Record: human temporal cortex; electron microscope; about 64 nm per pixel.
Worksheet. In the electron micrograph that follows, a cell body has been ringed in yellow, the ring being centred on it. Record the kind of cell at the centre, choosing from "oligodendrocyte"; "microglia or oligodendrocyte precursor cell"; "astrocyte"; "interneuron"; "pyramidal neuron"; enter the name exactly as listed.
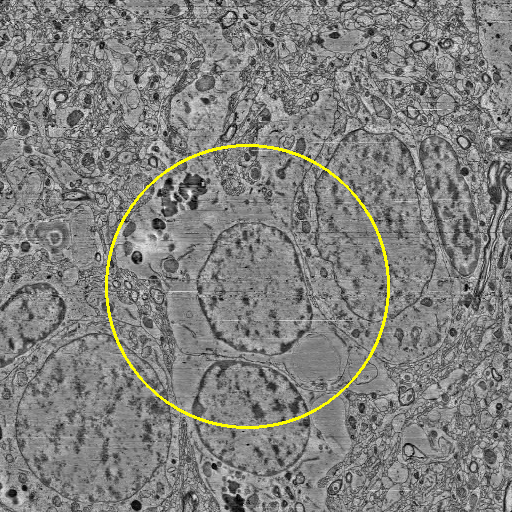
astrocyte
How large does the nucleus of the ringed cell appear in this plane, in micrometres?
The ringed cell's nucleus is about 9 micrometres long and 7 micrometres wide in this plane.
